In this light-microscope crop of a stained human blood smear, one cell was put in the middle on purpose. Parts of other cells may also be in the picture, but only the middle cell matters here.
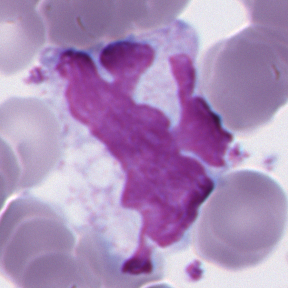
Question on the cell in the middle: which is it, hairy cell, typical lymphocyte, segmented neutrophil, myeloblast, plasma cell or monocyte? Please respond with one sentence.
By type, the central cell of the crop is a monocyte.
